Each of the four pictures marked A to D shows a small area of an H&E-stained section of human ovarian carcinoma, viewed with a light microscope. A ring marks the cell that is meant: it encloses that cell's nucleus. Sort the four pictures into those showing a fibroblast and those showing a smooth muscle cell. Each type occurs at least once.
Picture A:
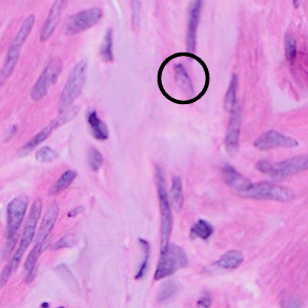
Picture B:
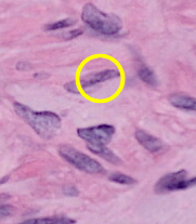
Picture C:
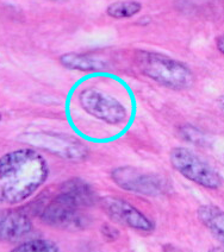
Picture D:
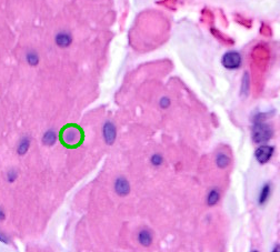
A: smooth muscle cell
B: smooth muscle cell
C: fibroblast
D: smooth muscle cell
